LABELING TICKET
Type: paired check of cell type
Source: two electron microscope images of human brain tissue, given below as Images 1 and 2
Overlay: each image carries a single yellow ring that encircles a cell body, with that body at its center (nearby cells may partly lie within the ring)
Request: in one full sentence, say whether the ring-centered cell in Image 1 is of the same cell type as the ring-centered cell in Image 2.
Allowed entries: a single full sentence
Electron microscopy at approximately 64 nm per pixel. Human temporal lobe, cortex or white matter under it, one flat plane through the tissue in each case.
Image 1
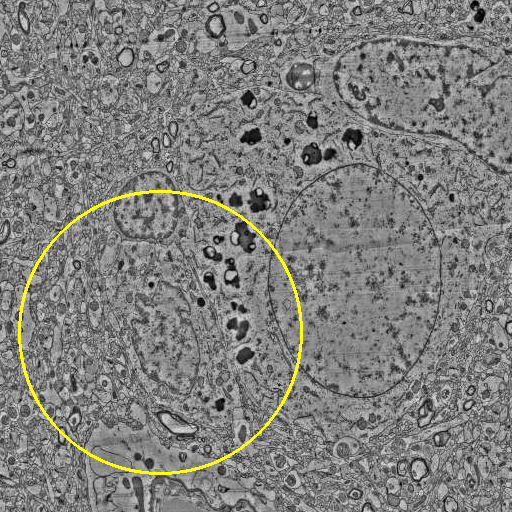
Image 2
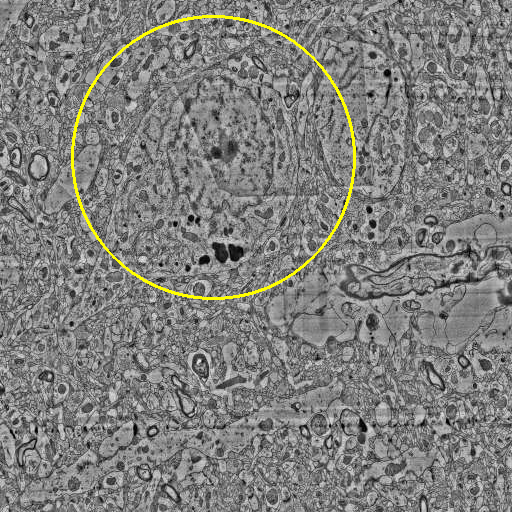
Yes, the cells centered in the rings of Image 1 and Image 2 share one type.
